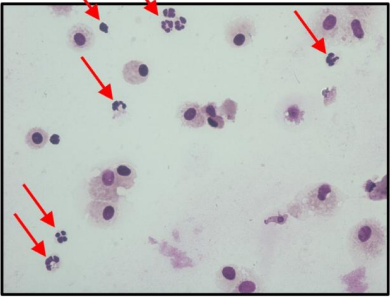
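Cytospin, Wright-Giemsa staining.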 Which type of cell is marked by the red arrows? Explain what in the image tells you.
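Neutrophils. The arrowed cells are small, with dark purple nuclei split into several lobes. The arrowed cells have little visible cytoplasm compared with the larger round cells around them.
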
